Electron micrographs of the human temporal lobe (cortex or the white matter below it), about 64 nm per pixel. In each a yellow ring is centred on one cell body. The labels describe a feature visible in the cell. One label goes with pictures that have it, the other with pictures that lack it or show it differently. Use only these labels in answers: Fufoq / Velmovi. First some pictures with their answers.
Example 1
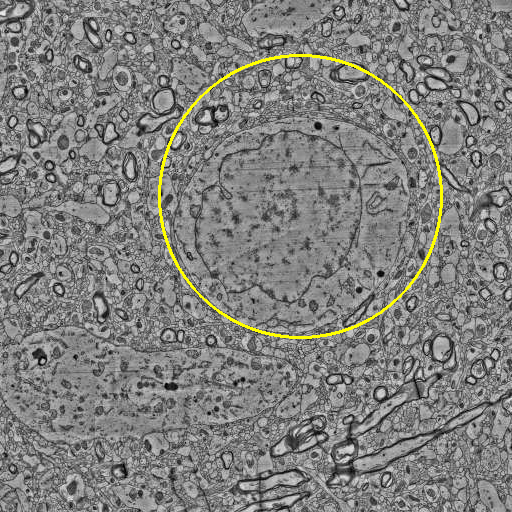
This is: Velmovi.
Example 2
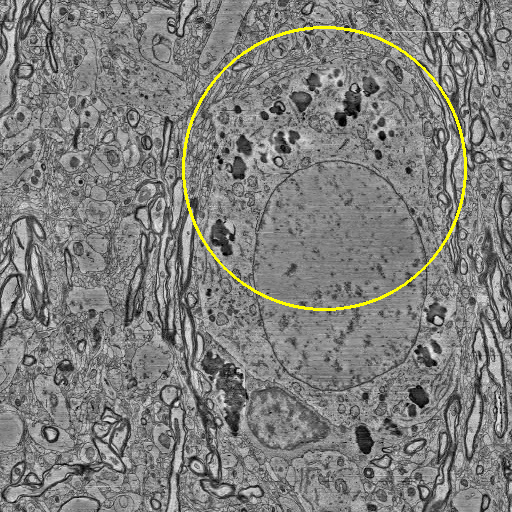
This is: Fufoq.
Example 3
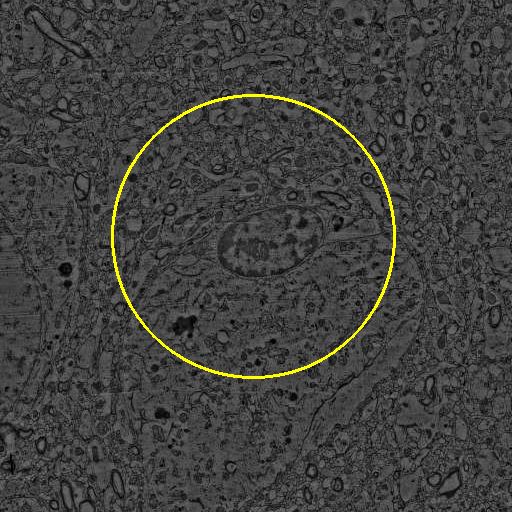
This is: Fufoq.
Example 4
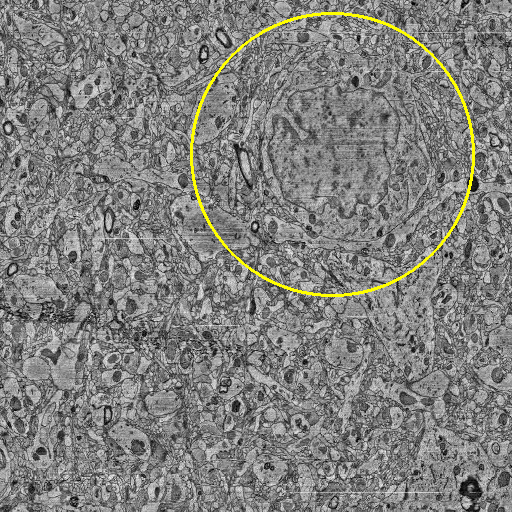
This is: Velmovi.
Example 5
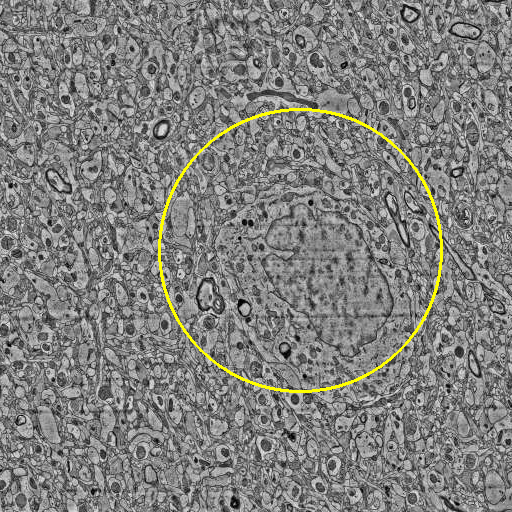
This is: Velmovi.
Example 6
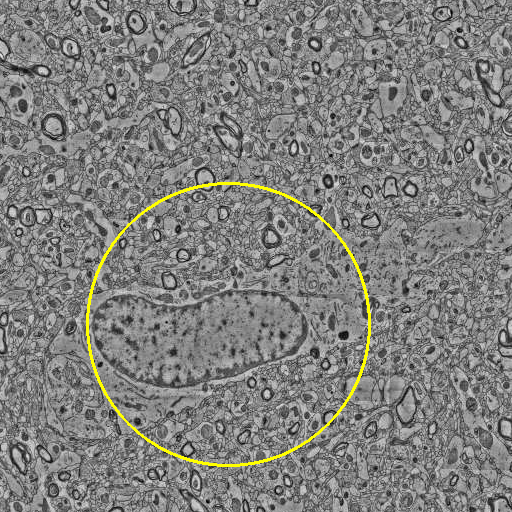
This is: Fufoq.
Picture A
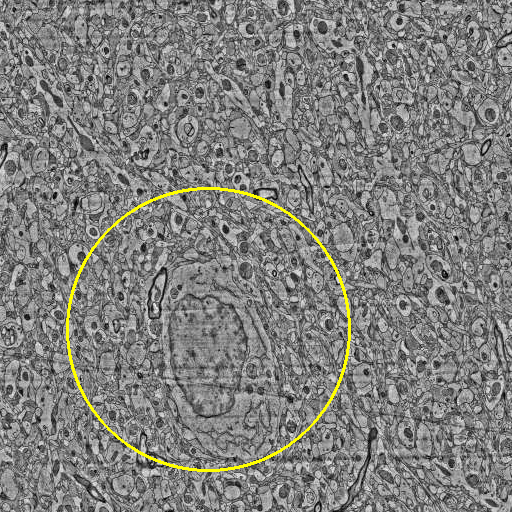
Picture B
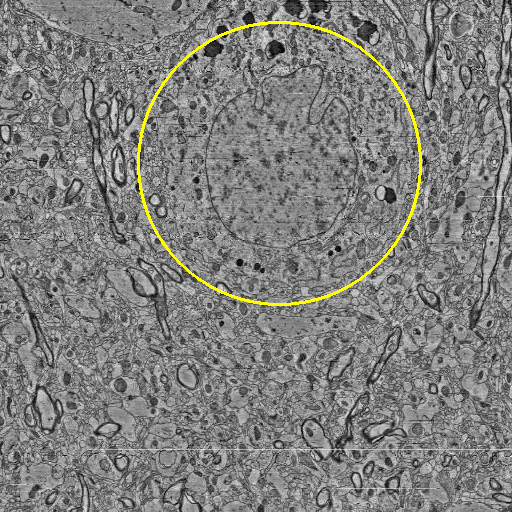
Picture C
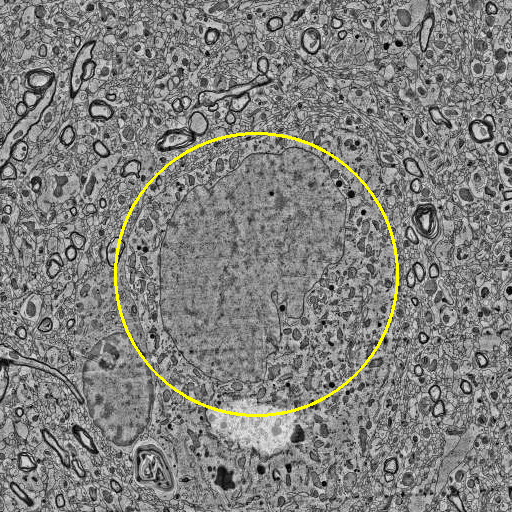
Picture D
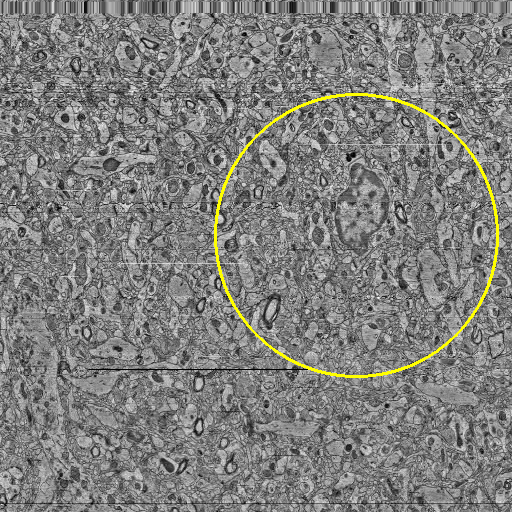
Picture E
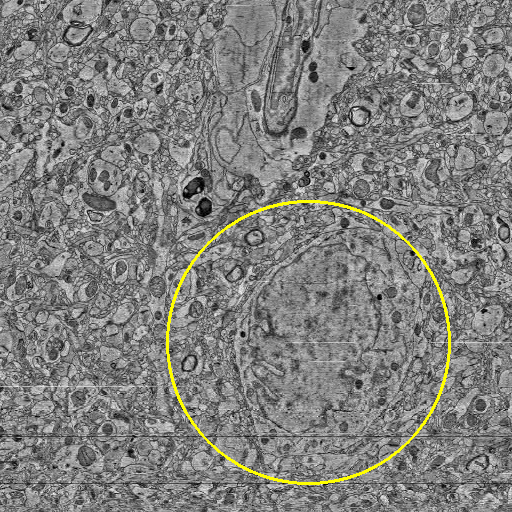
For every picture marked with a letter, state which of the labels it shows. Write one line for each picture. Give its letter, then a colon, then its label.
A: Fufoq.
B: Velmovi.
C: Velmovi.
D: Velmovi.
E: Velmovi.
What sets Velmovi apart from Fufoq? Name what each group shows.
In Velmovi: deeply folded or indented nuclear envelopes. In Fufoq: smooth nuclear envelopes without deep folds.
